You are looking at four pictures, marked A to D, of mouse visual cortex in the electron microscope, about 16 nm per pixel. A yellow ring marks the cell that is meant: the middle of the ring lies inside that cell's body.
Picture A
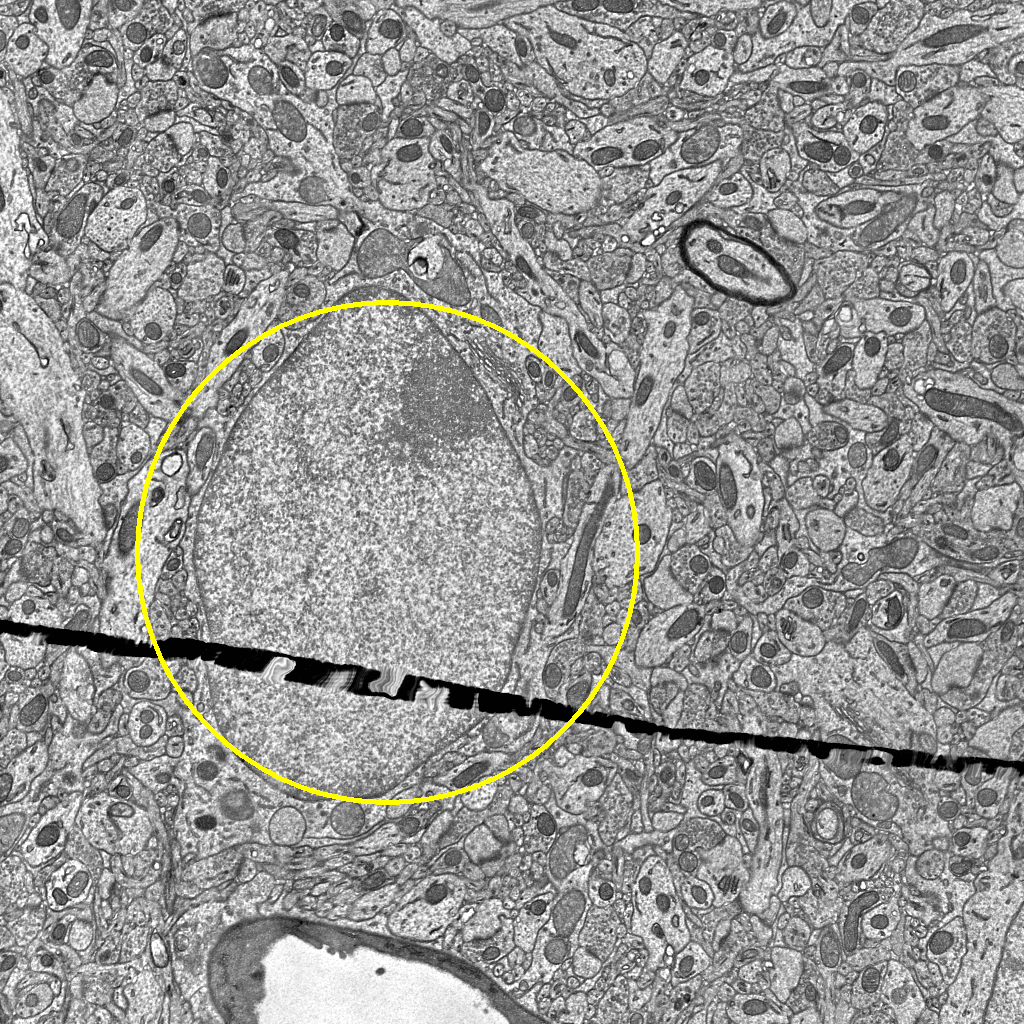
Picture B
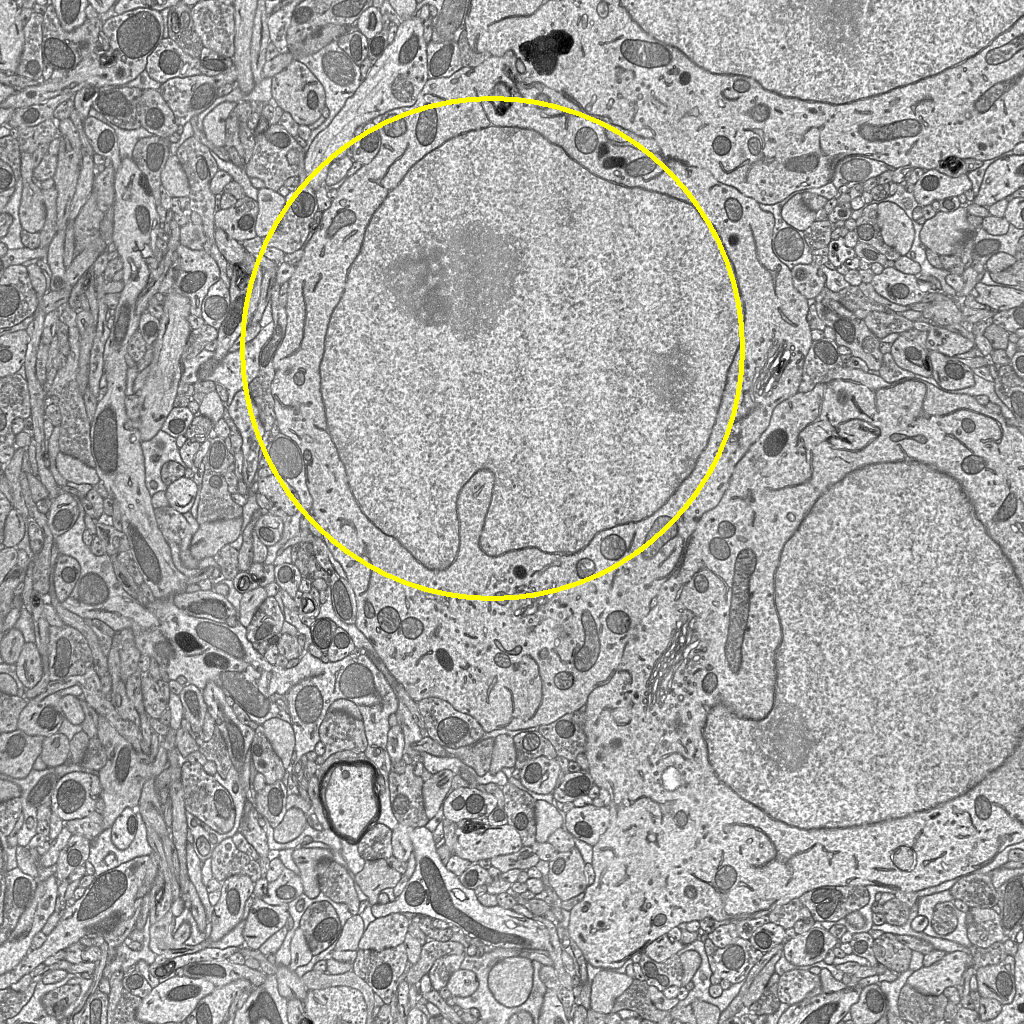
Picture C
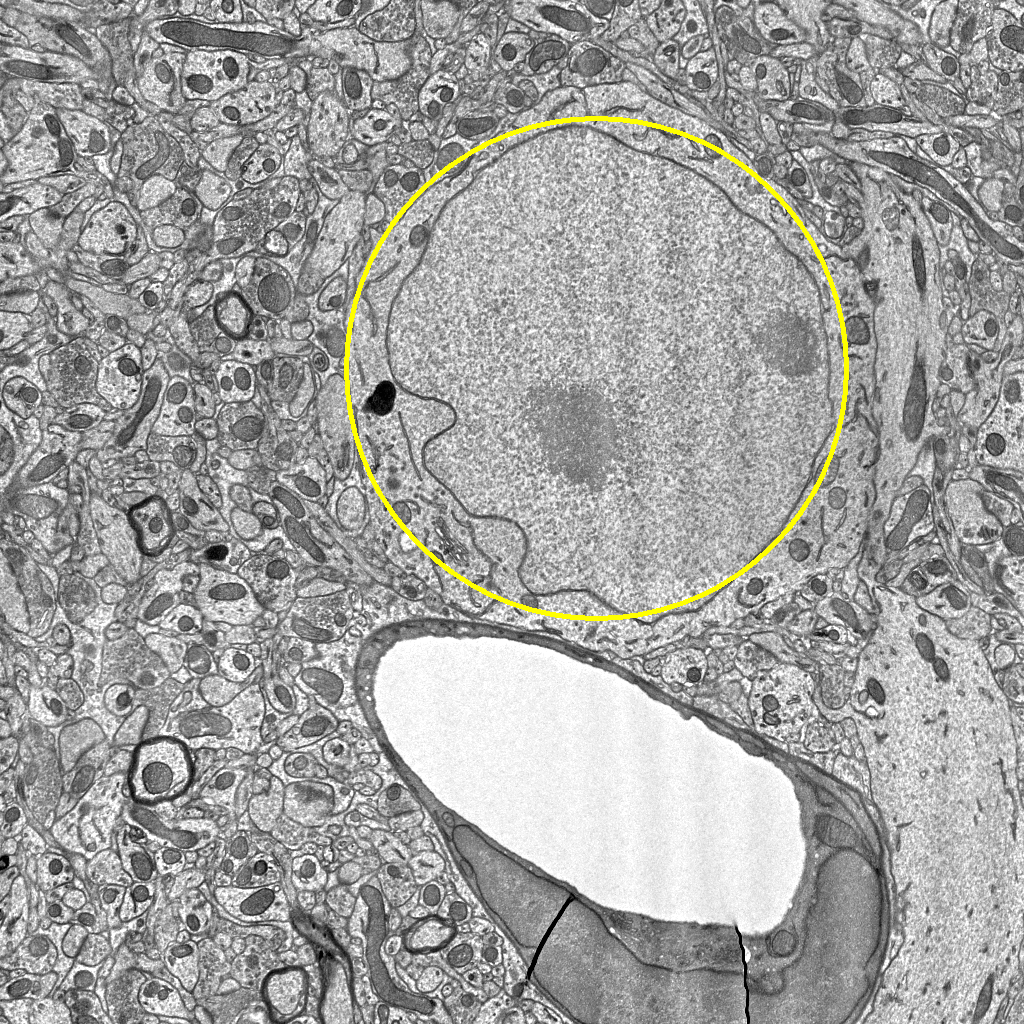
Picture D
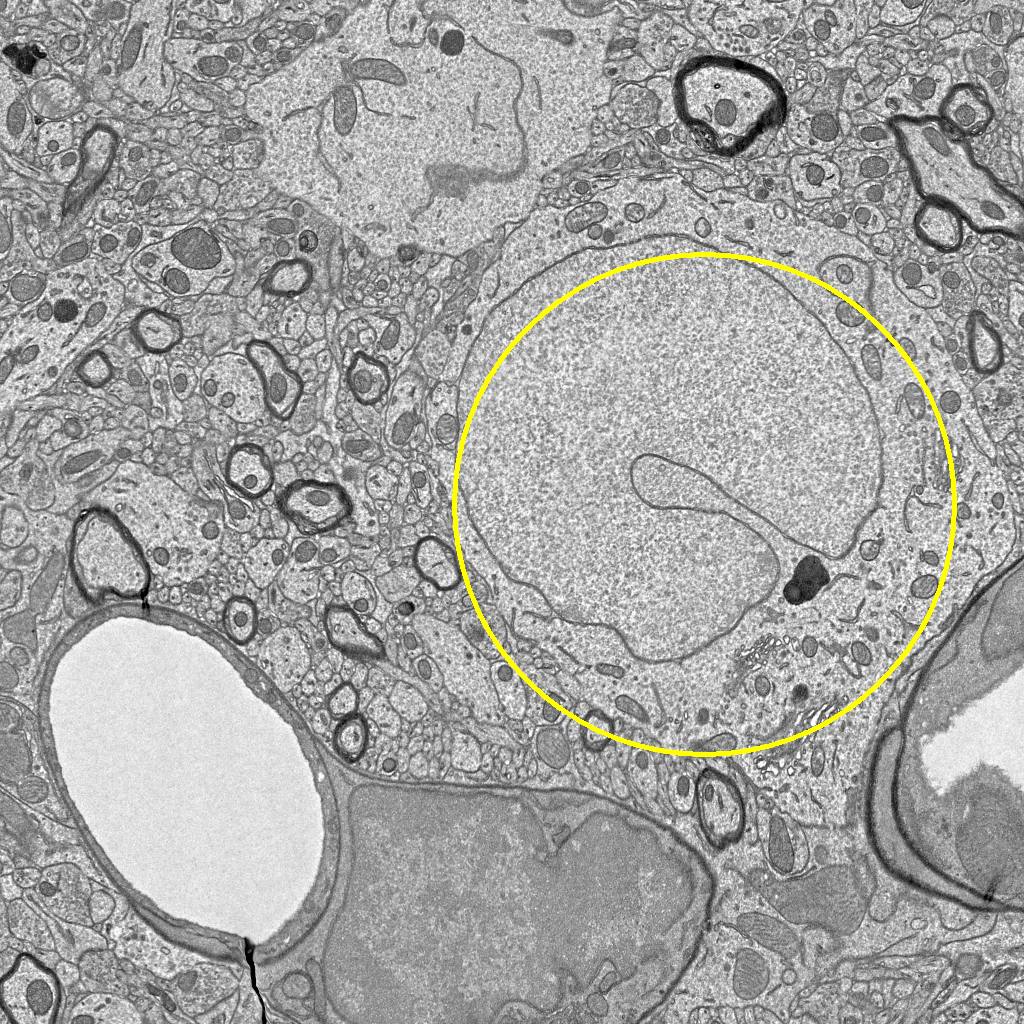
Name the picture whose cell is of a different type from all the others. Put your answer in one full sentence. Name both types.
Picture A is the odd one out: it shows an astrocyte, while the others show excitatory neurons.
